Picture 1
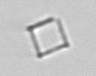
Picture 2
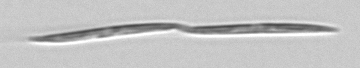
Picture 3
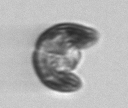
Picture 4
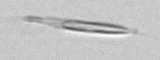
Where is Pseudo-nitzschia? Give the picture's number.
2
